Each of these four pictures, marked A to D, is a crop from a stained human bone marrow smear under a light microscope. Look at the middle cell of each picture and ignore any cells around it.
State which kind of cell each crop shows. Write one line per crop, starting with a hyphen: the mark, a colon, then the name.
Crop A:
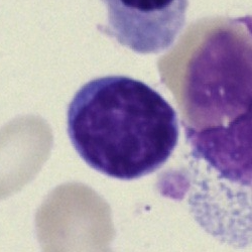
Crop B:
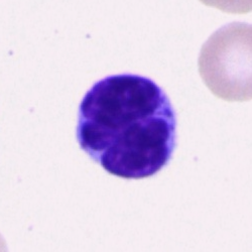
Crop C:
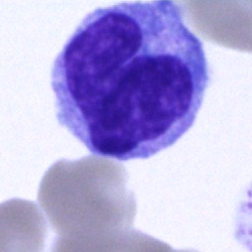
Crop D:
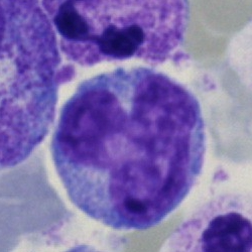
- A: lymphocyte
- B: lymphocyte
- C: monocyte
- D: monocyte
